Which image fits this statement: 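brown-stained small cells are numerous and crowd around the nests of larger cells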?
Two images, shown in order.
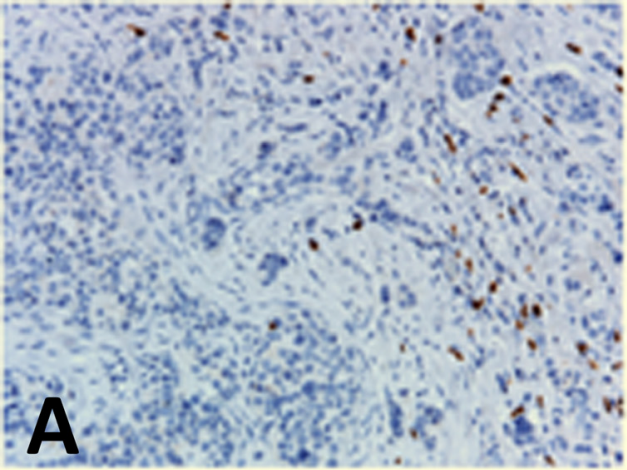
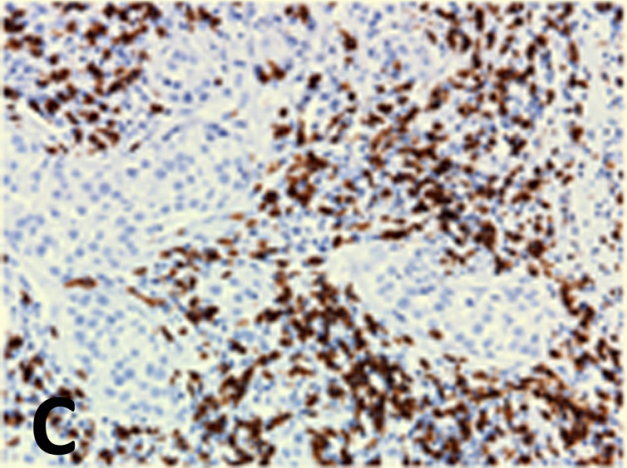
The second image.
